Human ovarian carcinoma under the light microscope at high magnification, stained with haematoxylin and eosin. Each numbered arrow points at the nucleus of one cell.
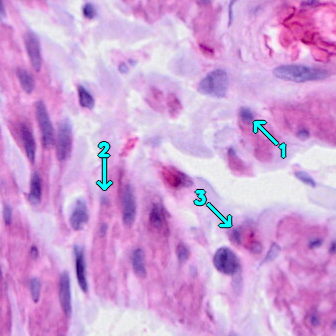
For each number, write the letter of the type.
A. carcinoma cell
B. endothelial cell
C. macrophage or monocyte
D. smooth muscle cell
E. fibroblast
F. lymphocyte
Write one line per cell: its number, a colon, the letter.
1: D
2: D
3: B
